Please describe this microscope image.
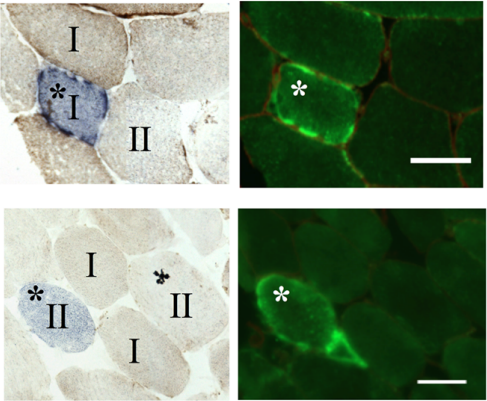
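These are cross-sections of skeletal muscle fibers, seen as large polygonal profiles fitted closely together. In the brightfield images most fibers are tinted brown, but a few marked with an asterisk are blue instead.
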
